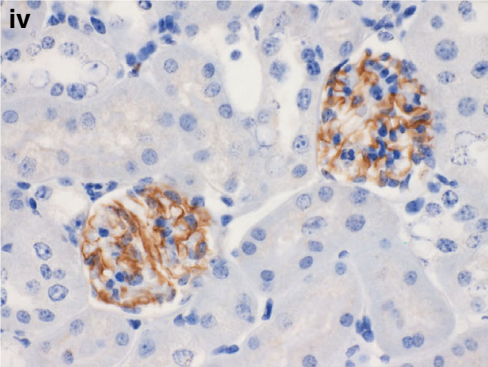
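Renal cortex with two glomeruli, one at the lower left and one at the upper right, set among cross-sectioned tubules. The surrounding tubules are lined by cuboidal epithelial cells with round nuclei and pale cytoplasm. Small, darker, elongated nuclei lie in the narrow spaces between the tubules. The tubules show no brown stain.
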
